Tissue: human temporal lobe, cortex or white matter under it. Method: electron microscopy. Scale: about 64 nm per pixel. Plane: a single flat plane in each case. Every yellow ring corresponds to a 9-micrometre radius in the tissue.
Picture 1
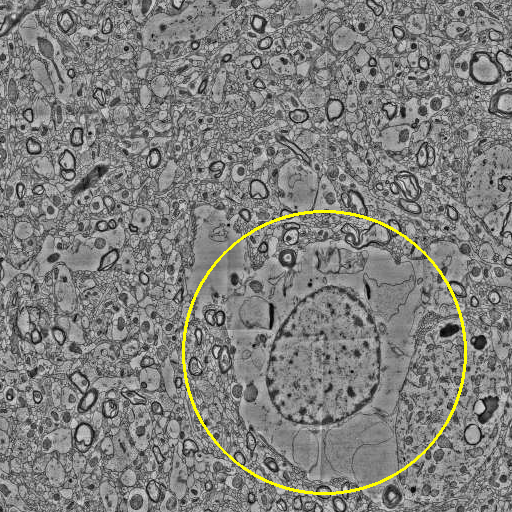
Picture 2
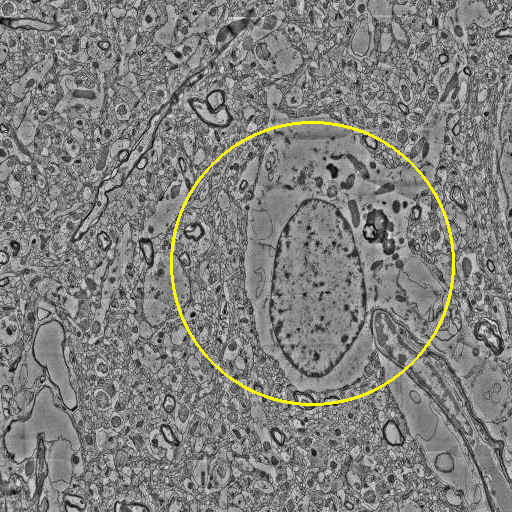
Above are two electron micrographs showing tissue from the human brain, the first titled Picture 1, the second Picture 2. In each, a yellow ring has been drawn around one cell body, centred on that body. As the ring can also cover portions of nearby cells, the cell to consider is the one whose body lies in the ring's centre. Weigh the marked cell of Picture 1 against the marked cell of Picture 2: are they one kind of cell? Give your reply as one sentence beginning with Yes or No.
Yes, the two cells sitting at the ring centres in the pictures are of one kind.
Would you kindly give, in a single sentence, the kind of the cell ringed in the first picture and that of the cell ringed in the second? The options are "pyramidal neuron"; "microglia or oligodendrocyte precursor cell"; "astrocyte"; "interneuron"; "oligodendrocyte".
Each of the two pictures has an astrocyte at the ring centre.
